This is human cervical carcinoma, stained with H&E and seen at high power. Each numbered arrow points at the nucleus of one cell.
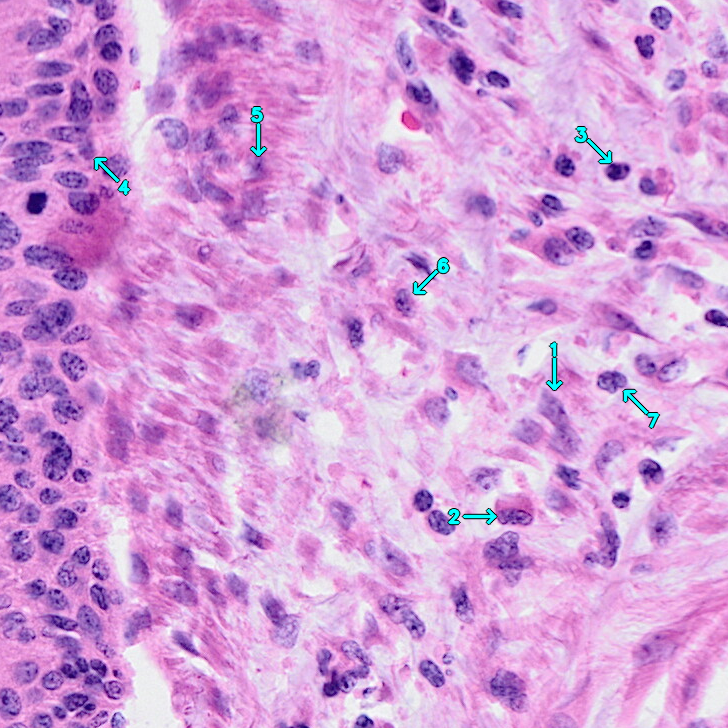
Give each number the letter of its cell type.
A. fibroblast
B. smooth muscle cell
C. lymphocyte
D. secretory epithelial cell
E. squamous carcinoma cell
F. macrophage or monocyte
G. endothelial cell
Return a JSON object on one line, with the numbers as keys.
{"1": "A", "2": "F", "3": "C", "4": "E", "5": "A", "6": "F", "7": "C"}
